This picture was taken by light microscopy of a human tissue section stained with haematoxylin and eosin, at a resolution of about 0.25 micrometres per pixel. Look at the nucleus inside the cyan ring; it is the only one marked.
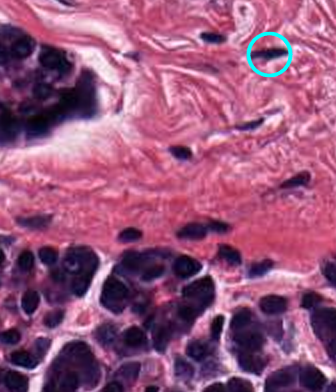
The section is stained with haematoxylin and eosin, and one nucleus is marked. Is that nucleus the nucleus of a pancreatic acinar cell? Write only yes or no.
no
